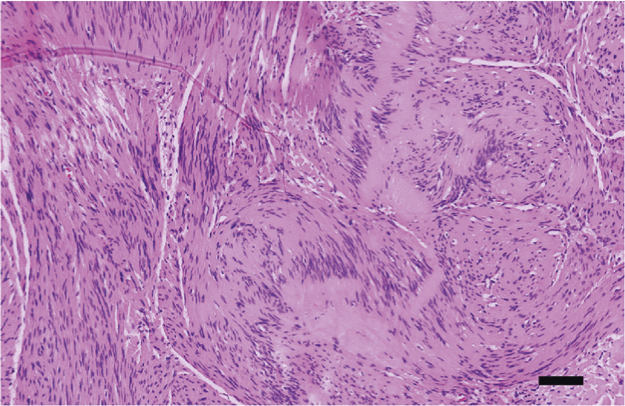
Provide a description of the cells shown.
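This schwannoma tissue shows Verocay bodies embedded in Antoni A tissue. Pale pink zones without nuclei alternate with bands of fusiform, elongated purple nuclei. The nuclei in these bands lie side by side in parallel, palisade-like rows. Fascicles of spindle cells sweep around these structures.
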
